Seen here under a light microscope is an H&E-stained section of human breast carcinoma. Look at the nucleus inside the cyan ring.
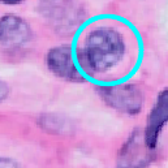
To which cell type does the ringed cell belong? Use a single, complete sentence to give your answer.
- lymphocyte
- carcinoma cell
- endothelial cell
As for its identity, the ringed cell is a carcinoma cell.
